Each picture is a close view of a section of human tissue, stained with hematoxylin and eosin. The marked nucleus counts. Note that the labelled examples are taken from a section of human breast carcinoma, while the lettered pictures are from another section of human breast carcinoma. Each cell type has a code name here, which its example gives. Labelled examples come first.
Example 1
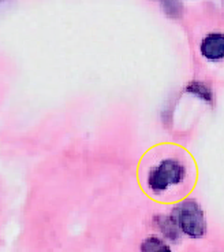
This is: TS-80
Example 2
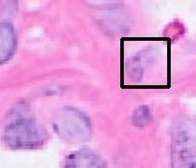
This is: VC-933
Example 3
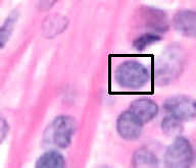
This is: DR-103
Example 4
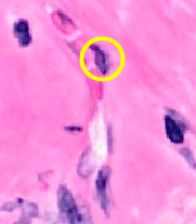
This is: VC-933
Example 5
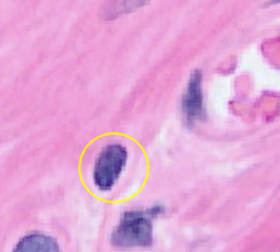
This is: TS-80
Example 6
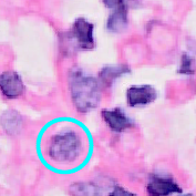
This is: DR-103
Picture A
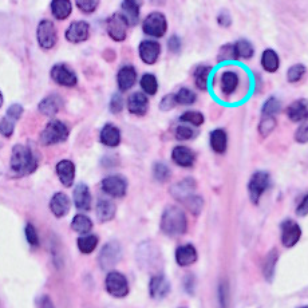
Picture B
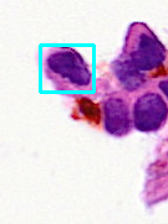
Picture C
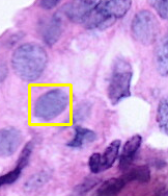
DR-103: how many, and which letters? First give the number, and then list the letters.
Count: 2 (B, C)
